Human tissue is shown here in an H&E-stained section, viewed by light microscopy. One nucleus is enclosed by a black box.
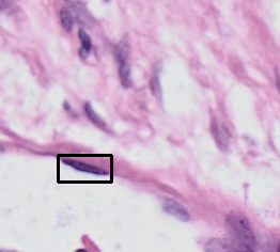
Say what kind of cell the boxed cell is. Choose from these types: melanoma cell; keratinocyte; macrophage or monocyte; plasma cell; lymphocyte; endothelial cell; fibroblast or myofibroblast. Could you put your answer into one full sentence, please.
As classified here, the boxed cell is an endothelial cell.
